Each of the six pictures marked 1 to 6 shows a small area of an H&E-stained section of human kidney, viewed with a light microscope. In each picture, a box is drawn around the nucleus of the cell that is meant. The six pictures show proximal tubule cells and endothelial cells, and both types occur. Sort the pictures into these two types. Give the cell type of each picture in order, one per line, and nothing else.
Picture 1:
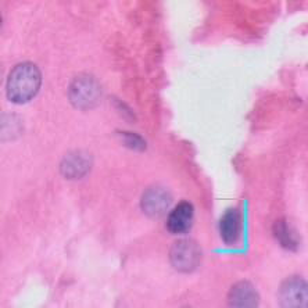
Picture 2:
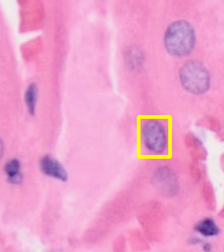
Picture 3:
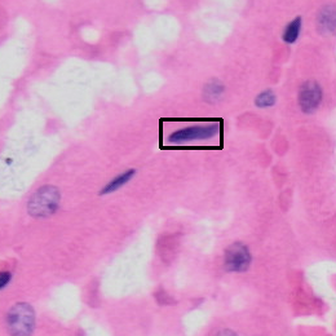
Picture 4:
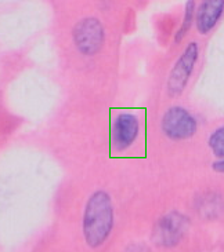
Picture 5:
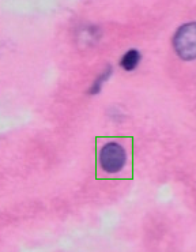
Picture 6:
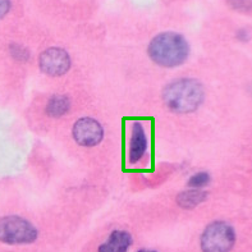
endothelial cell
proximal tubule cell
endothelial cell
endothelial cell
proximal tubule cell
endothelial cell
